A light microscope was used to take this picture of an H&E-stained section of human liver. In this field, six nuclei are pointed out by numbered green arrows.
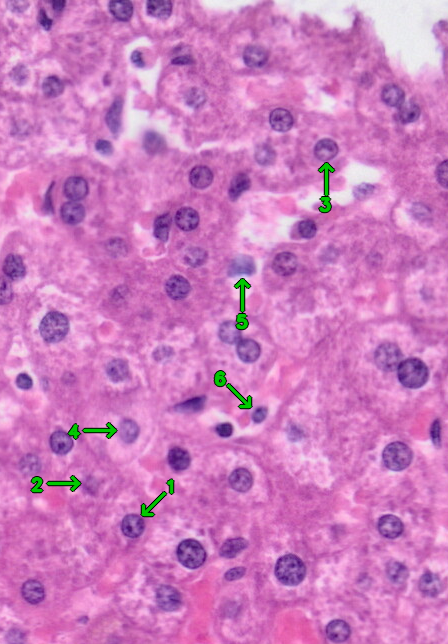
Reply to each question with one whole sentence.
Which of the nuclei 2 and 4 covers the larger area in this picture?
At about 1.5 times the area of nucleus 2, nucleus 4 is the larger of the two.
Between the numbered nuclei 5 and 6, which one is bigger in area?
Of the two, number 5 is bigger and takes up about 2.5 times the area of number 6.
